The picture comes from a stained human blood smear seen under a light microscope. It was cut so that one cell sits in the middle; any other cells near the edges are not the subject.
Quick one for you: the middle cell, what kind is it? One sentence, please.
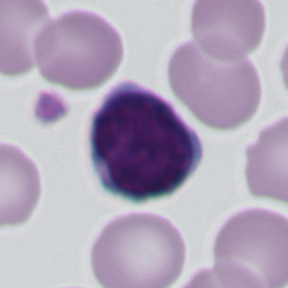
This crop's central cell is a lymphocyte.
